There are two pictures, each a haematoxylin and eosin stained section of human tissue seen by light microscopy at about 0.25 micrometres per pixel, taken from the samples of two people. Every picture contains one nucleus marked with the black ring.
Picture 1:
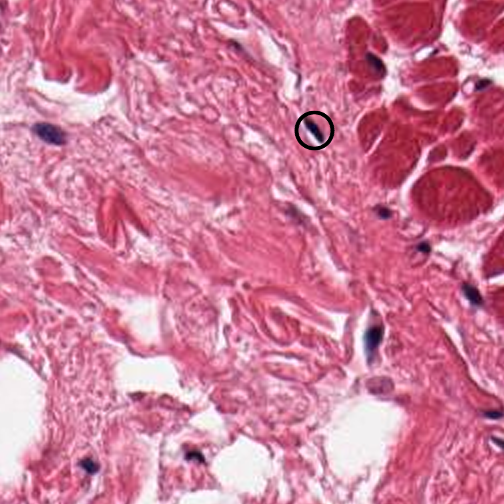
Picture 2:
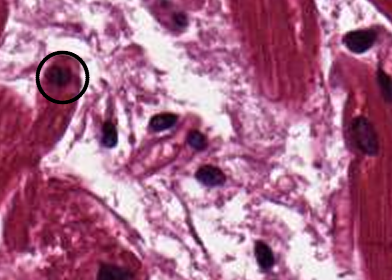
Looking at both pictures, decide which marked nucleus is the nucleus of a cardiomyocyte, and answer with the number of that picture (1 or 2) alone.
2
